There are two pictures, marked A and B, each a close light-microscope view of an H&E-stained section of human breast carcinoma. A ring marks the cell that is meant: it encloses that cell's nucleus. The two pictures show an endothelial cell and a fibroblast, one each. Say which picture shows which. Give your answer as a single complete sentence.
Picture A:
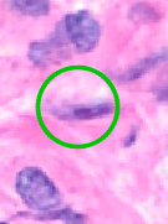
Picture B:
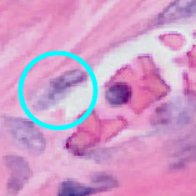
Picture B shows an endothelial cell, while picture A shows a fibroblast.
